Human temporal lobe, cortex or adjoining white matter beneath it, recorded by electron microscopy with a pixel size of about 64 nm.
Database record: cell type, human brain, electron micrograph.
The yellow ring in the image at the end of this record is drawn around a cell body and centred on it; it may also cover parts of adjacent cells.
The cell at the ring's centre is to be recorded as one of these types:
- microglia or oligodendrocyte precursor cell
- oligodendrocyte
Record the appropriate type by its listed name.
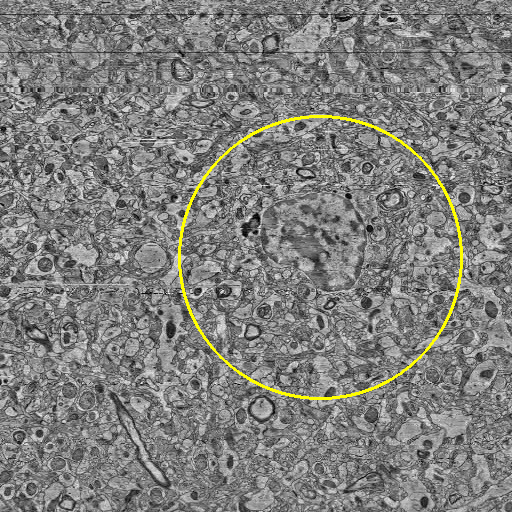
microglia or oligodendrocyte precursor cell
